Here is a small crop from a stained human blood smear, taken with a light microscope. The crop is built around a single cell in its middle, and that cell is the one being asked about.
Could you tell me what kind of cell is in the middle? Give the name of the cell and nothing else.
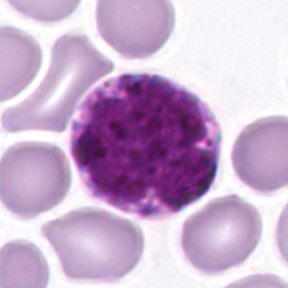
basophil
